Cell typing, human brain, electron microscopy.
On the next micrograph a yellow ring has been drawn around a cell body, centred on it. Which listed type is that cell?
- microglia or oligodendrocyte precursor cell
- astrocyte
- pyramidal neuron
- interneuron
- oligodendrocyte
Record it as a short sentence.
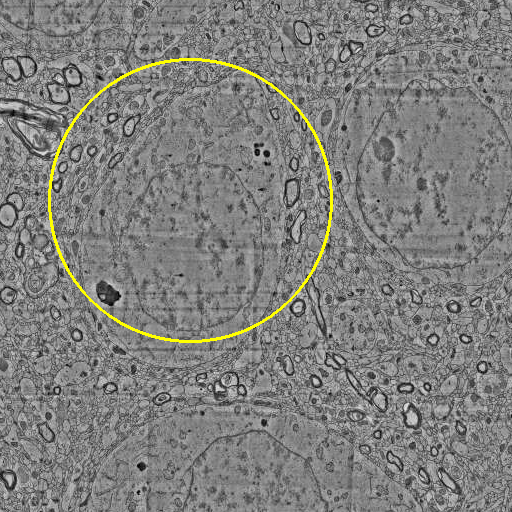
The cell body in the ring's centre belongs to a pyramidal neuron.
